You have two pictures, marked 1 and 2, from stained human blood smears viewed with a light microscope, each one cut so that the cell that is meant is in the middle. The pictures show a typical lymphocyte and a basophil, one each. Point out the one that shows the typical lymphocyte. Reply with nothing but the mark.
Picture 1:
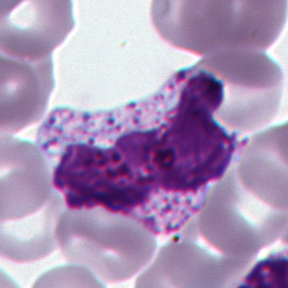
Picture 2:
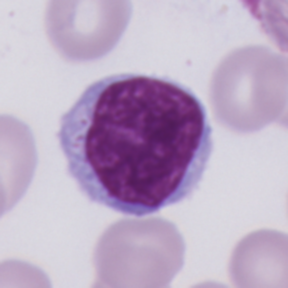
2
